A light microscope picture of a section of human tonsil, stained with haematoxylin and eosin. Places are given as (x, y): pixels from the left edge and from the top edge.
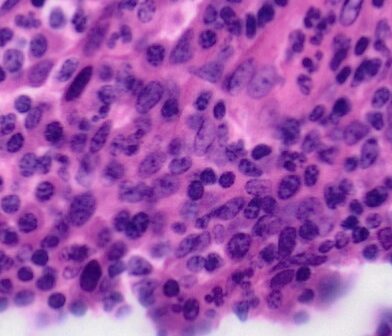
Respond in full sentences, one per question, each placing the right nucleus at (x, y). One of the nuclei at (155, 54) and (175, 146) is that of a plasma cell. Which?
Of the two nuclei, it is the one at (155, 54) that lies within a plasma cell.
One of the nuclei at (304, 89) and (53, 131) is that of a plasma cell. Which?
The nucleus of a plasma cell is the one at (53, 131).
